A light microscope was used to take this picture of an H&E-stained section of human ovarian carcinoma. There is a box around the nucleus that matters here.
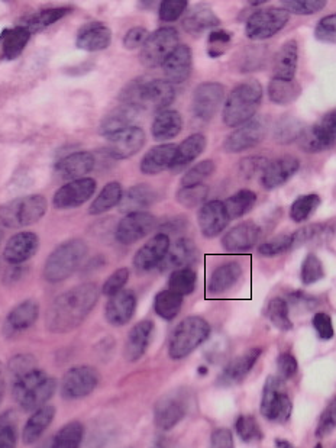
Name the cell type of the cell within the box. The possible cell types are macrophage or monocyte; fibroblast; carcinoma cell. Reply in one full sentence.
As a matter of cell type, the cell within the box is a carcinoma cell.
